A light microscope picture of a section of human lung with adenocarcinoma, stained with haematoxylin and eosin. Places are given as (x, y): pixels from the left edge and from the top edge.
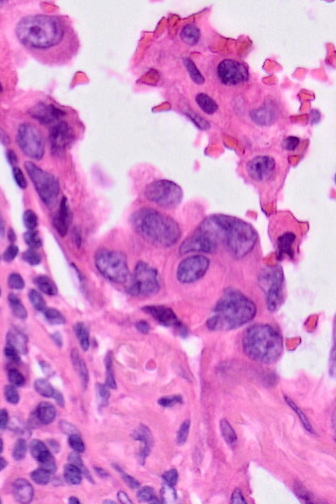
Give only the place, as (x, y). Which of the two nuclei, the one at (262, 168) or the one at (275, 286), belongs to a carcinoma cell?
(275, 286)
